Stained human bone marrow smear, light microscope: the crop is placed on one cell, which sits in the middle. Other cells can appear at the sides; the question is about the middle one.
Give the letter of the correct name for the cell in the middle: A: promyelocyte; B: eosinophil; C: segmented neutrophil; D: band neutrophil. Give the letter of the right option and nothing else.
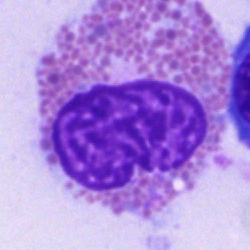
B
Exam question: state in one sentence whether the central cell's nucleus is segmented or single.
The nucleus is one compact mass, round, oval or kidney-shaped in outline.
